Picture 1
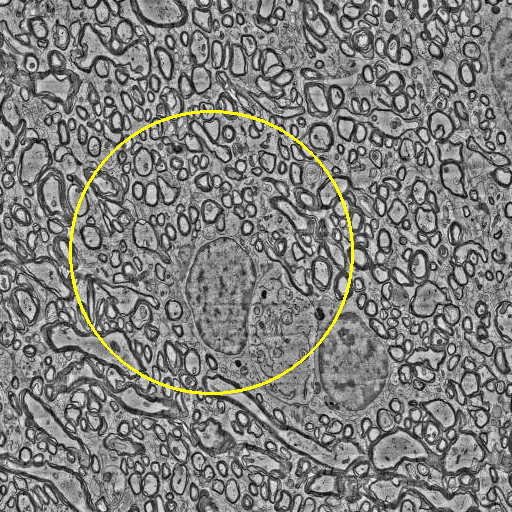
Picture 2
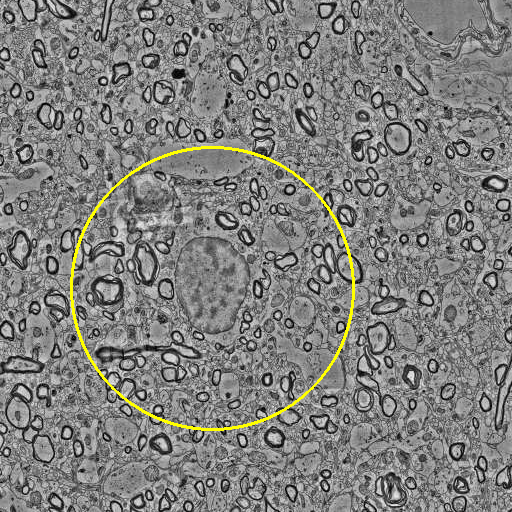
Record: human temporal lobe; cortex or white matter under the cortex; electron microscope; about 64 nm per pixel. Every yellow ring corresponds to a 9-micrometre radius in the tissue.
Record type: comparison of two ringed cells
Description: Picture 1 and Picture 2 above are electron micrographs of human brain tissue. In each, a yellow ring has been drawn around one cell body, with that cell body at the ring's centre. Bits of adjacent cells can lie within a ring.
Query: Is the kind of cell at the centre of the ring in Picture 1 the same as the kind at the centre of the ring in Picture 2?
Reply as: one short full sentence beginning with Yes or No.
No, the two ringed cells are of two separate kinds.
